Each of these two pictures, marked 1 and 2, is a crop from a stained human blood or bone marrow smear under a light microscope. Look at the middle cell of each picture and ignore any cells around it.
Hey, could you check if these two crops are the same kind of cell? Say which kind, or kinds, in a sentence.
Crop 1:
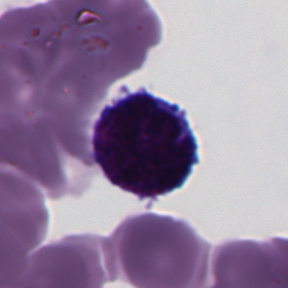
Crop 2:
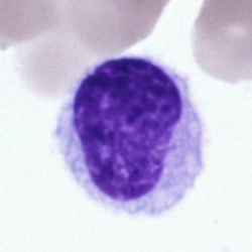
No, the cell in crop 1 is a blast, and the cell in crop 2 is a hairy cell.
